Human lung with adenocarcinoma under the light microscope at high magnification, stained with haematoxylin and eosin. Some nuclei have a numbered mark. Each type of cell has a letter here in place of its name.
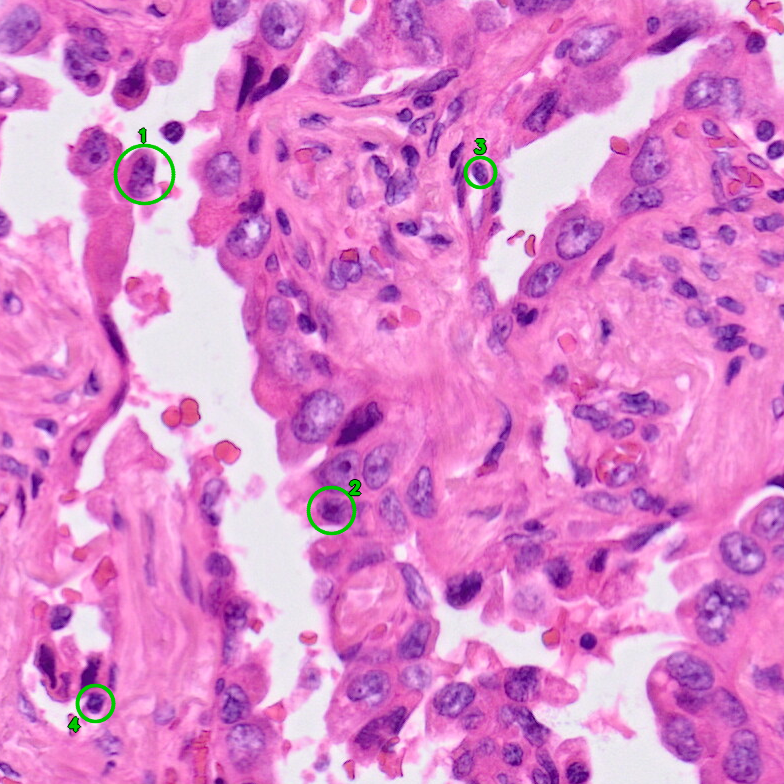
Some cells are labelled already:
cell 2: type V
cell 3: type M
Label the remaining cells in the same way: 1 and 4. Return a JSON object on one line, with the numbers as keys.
{"1": "type V", "4": "type M"}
